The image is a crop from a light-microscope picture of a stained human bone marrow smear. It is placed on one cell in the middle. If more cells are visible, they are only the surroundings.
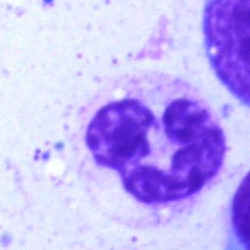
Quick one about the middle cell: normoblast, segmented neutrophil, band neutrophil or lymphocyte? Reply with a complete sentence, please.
Occupying the centre of the crop is a segmented neutrophil.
